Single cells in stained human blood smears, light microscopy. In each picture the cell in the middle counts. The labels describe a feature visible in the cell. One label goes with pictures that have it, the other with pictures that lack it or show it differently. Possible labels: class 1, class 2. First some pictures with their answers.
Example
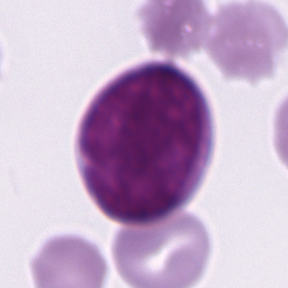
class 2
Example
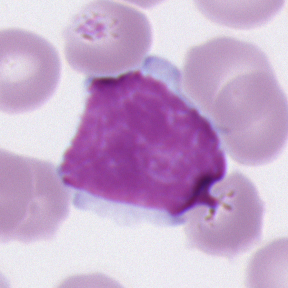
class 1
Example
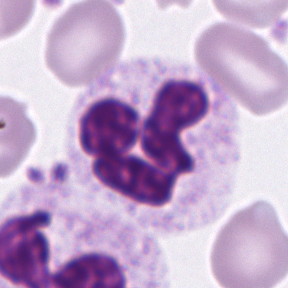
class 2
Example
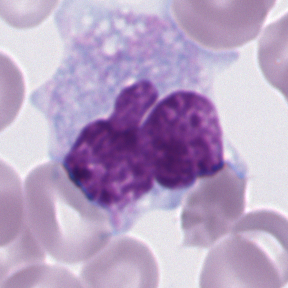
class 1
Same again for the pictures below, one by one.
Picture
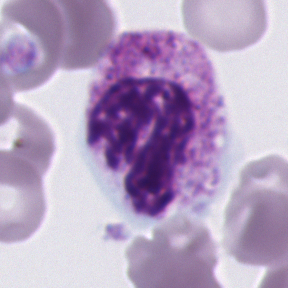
class 2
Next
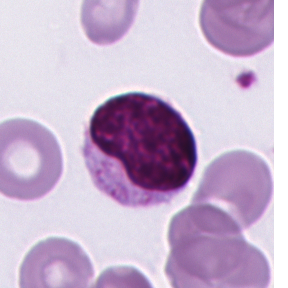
class 2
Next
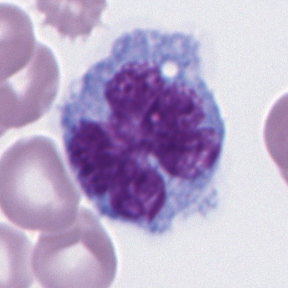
class 1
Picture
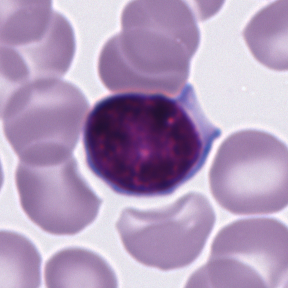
class 1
